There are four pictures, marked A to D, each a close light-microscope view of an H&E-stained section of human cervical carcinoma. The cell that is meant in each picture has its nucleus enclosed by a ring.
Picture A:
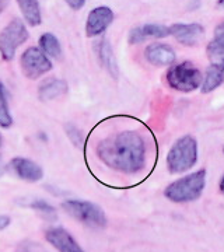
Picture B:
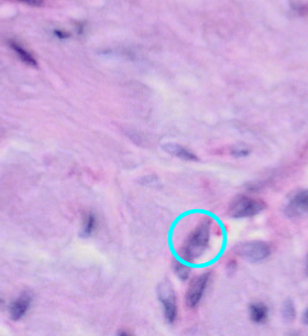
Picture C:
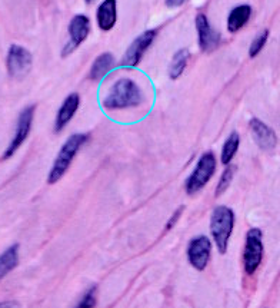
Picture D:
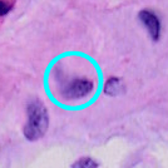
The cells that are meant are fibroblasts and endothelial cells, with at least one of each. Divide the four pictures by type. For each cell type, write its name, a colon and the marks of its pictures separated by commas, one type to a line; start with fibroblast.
fibroblast: C, D
endothelial cell: A, B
